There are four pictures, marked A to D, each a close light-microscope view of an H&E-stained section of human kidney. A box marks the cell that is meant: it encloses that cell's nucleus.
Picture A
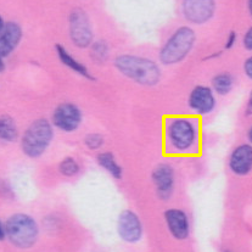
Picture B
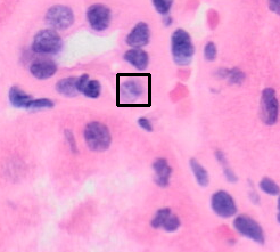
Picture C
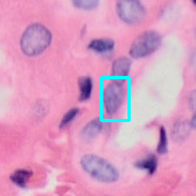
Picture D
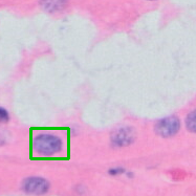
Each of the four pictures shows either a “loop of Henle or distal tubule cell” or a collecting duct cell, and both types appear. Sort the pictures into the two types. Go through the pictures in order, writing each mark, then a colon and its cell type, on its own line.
A: collecting duct cell
B: collecting duct cell
C: collecting duct cell
D: loop of Henle or distal tubule cell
